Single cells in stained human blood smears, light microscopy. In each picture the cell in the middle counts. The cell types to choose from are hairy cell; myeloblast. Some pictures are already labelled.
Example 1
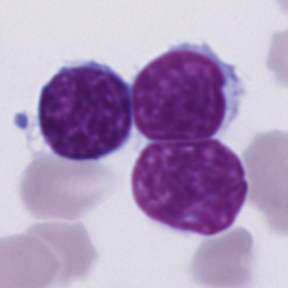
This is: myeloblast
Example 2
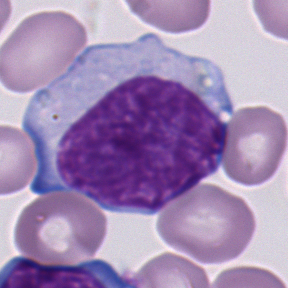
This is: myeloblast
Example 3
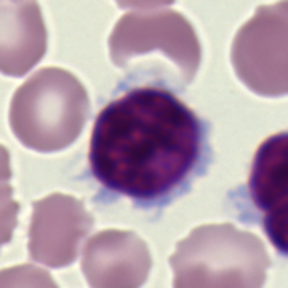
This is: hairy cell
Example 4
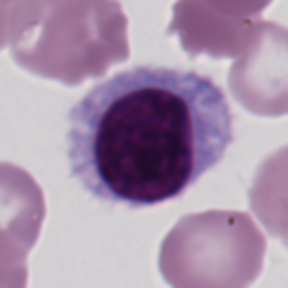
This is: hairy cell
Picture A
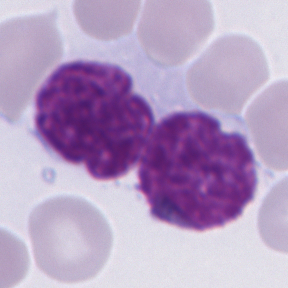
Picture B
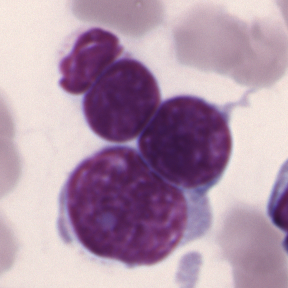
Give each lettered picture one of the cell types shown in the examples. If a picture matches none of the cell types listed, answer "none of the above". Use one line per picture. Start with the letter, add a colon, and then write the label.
A: myeloblast
B: myeloblast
